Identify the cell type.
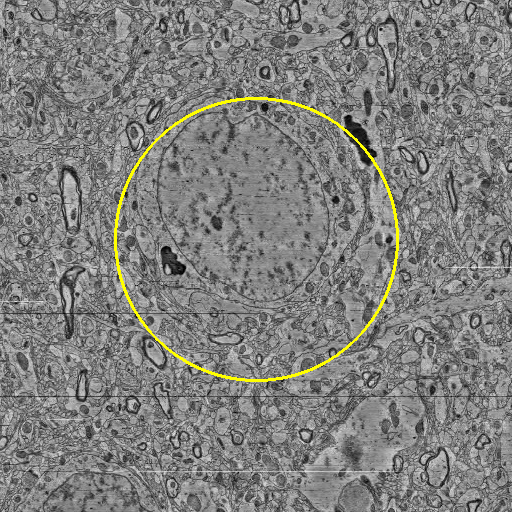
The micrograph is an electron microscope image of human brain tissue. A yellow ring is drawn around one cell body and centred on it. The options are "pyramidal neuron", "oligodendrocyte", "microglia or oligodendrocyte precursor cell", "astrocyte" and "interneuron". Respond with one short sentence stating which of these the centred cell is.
The cell body in the ring belongs to a pyramidal neuron.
